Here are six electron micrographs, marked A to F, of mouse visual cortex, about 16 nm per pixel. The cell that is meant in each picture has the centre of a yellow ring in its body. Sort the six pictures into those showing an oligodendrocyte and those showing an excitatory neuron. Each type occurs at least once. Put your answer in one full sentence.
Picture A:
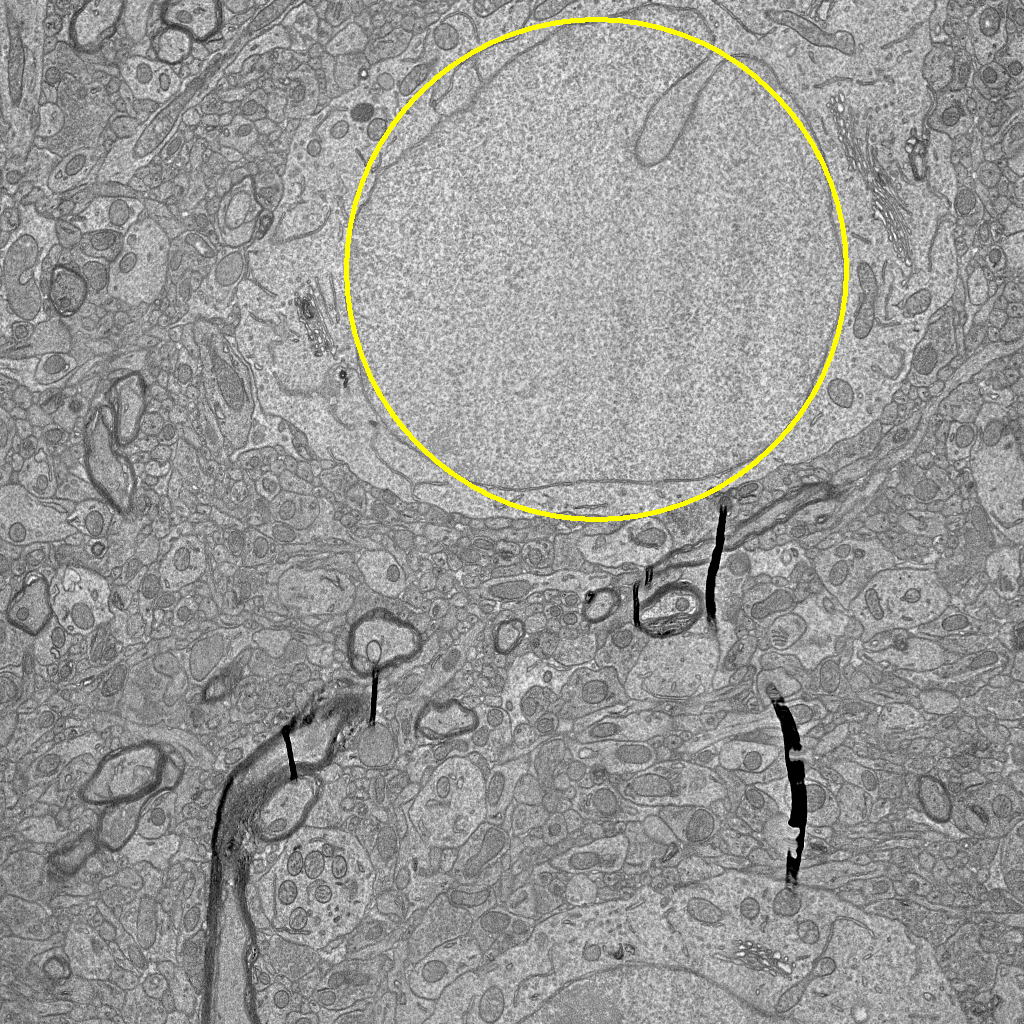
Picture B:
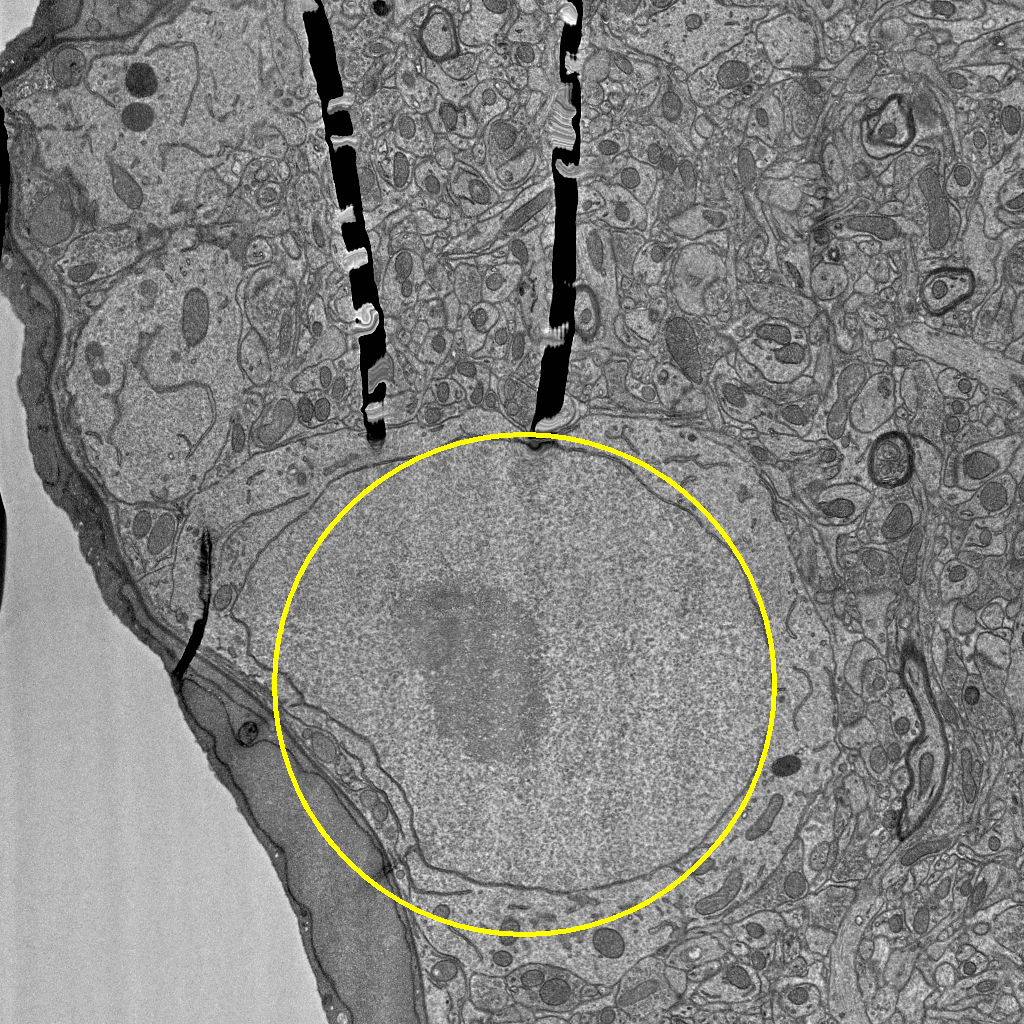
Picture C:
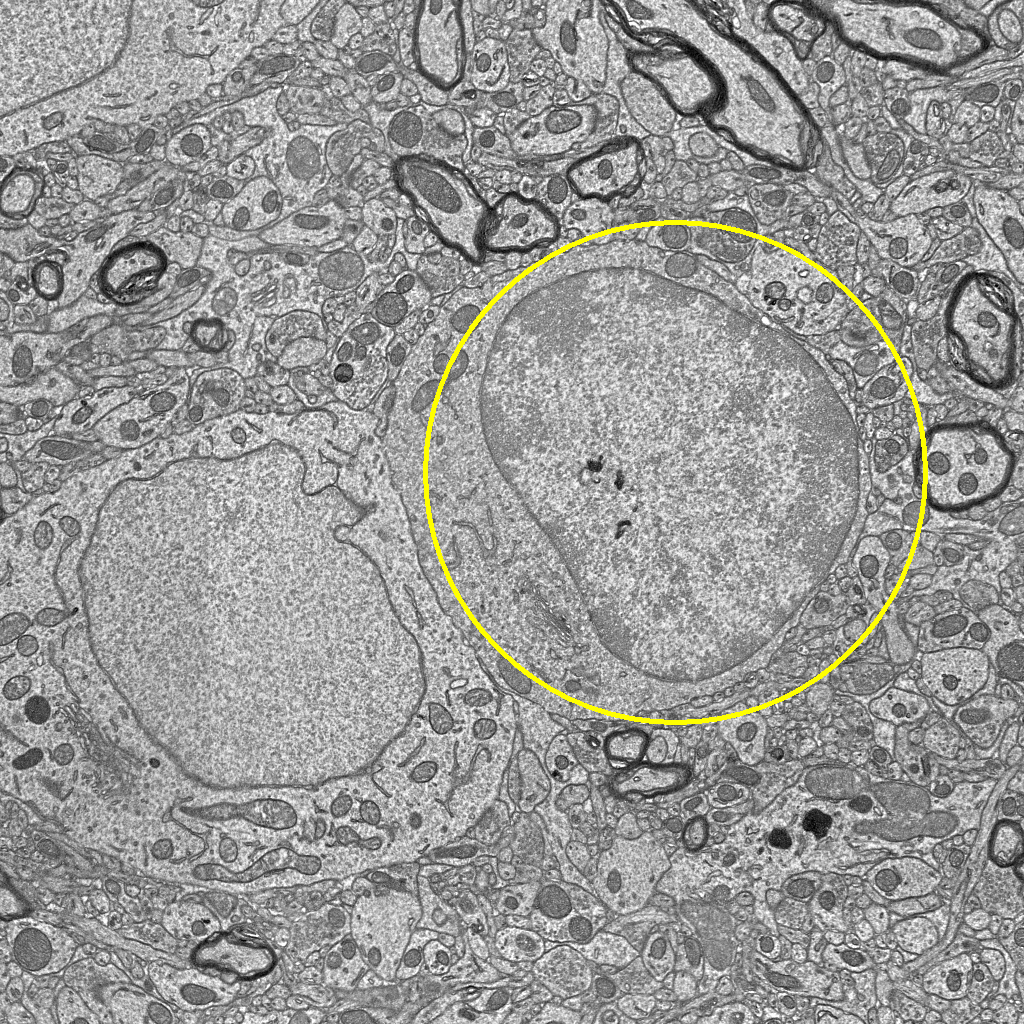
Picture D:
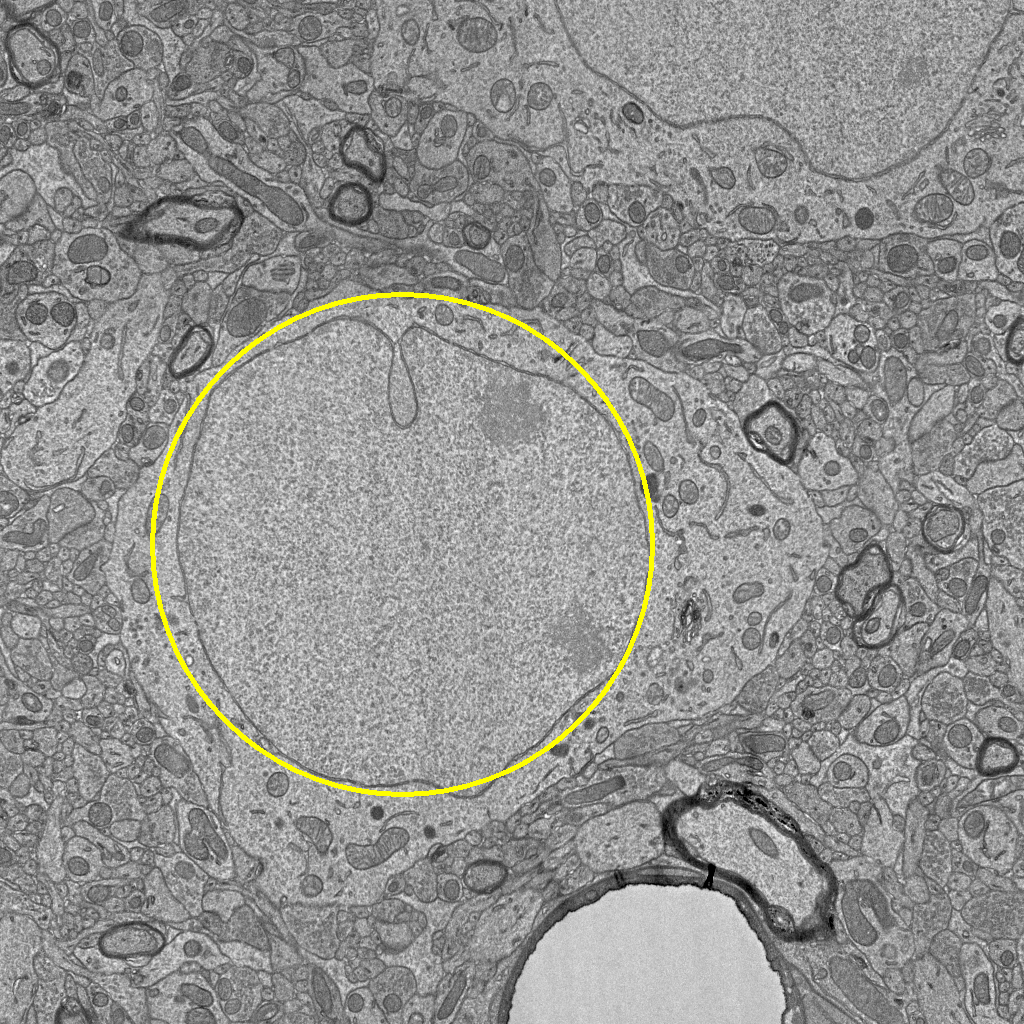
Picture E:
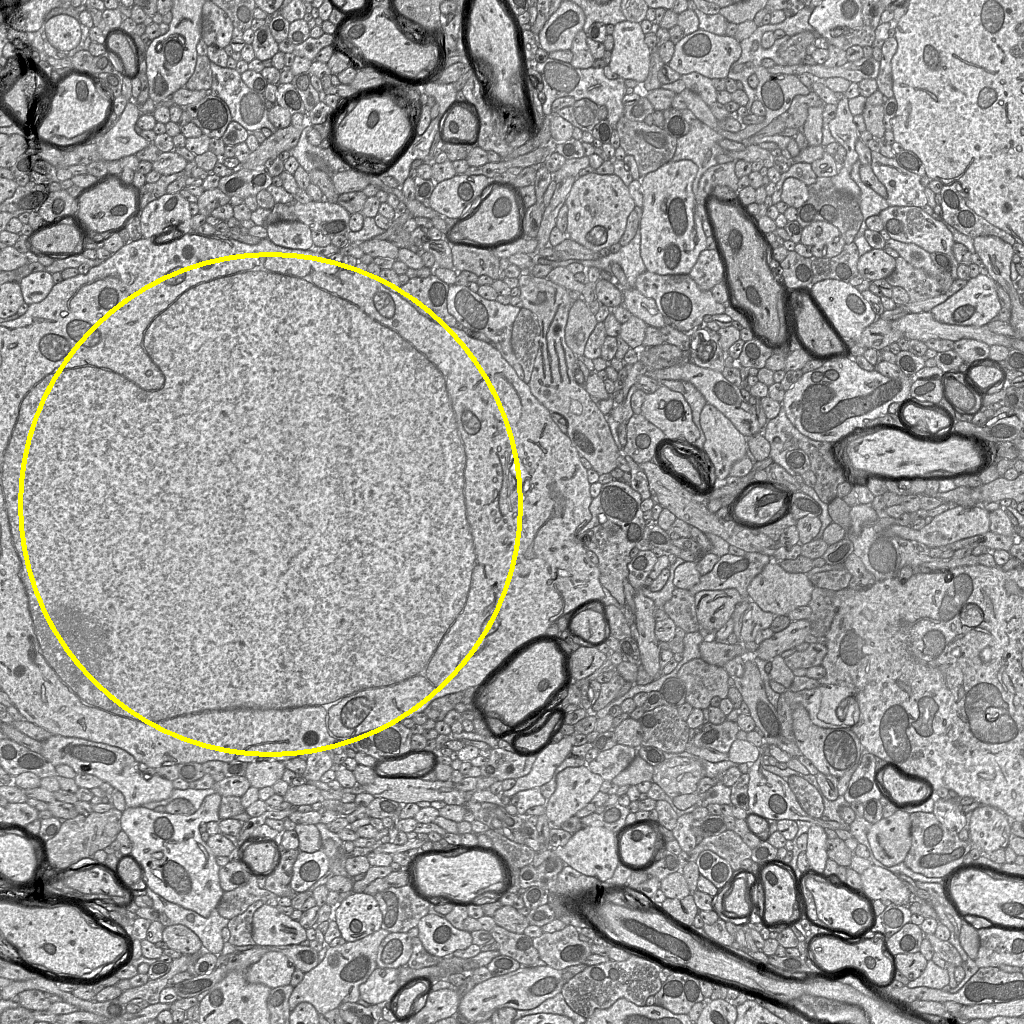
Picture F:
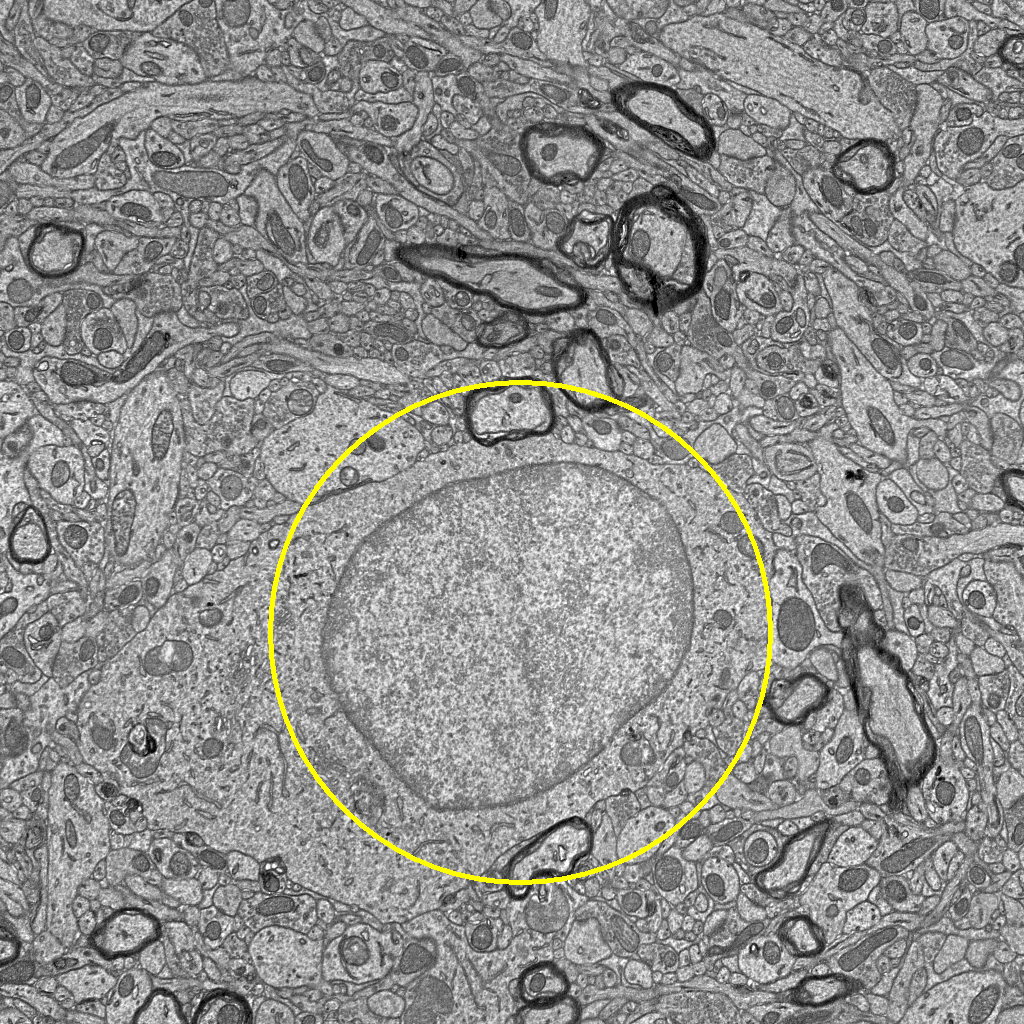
Pictures C and F show oligodendrocytes, while pictures A, B, D and E show excitatory neurons.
